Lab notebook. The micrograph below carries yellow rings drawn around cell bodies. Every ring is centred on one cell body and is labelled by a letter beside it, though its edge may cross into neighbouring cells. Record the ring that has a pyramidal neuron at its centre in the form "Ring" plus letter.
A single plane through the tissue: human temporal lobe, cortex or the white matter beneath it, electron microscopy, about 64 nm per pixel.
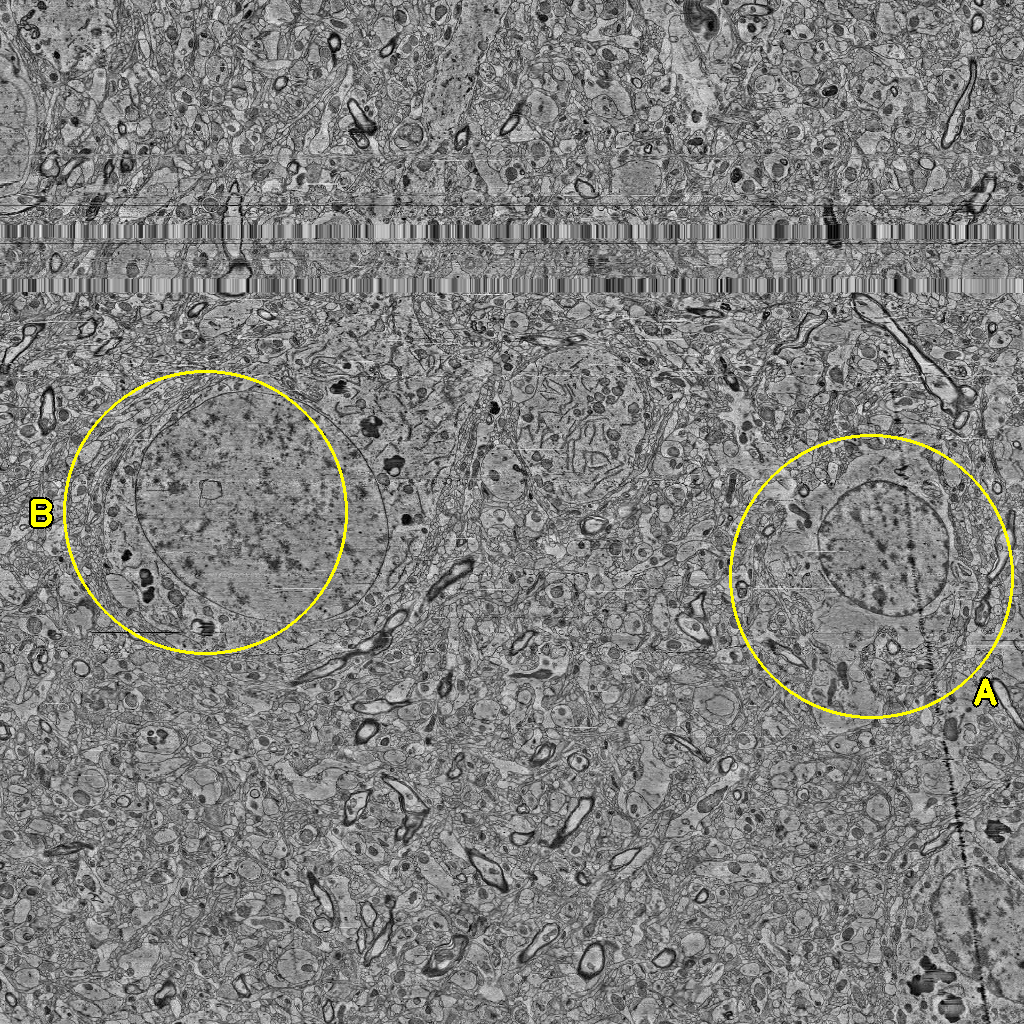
Ring B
